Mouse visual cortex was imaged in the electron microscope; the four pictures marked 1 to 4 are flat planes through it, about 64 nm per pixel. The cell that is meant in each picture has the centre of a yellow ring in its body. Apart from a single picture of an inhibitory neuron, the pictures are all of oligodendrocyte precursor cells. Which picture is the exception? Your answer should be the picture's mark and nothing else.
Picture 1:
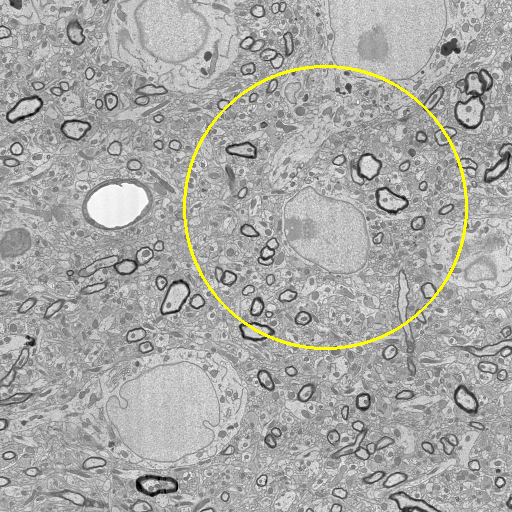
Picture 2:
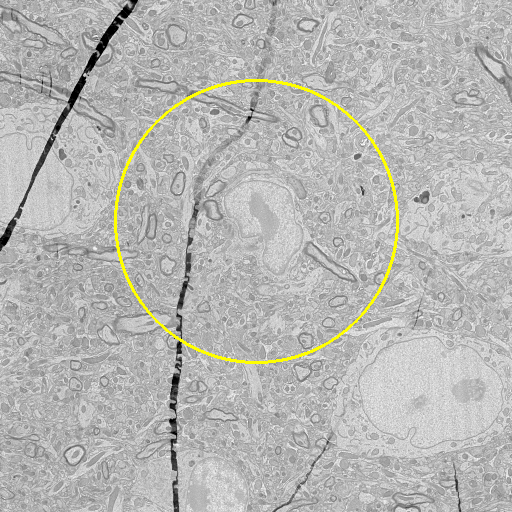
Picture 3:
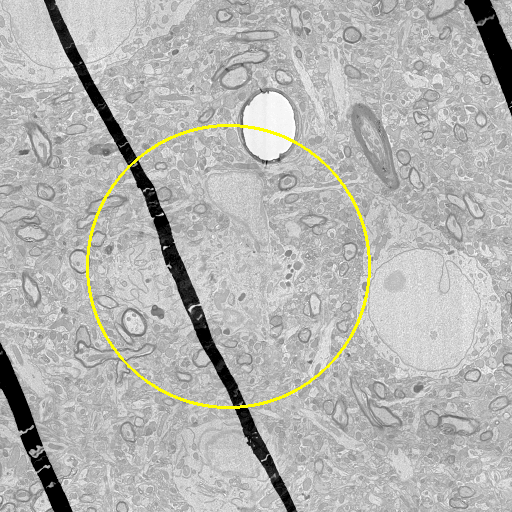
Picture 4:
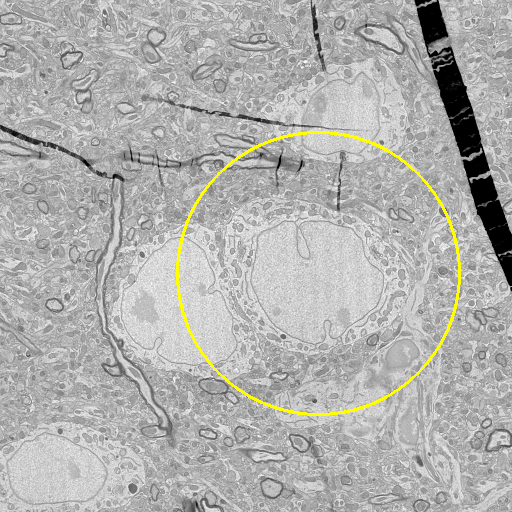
4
